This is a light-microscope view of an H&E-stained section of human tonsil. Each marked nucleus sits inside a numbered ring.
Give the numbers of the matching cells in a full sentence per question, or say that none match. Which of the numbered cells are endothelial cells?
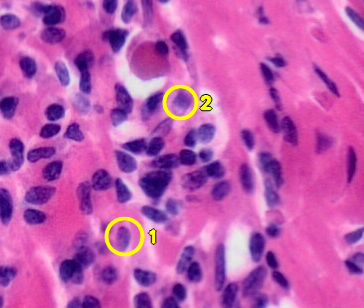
Only cell 2 qualifies as an endothelial cell among the numbered cells.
